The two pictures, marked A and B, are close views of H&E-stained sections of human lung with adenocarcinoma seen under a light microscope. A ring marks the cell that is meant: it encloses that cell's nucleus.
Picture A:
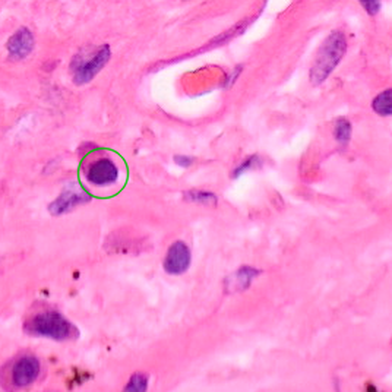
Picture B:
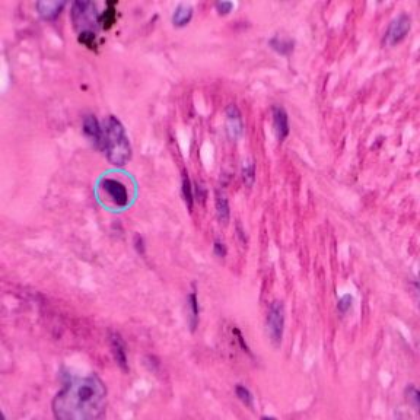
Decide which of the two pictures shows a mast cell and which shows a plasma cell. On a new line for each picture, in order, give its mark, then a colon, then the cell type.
A: plasma cell
B: mast cell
